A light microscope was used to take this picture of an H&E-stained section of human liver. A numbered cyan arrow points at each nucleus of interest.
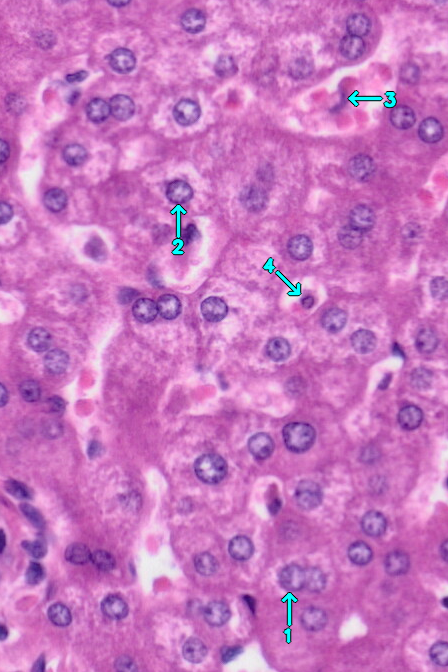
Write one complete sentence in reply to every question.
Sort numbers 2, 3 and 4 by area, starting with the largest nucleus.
By area, largest first, they run 2, 3, 4.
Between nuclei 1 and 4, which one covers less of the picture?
The smaller nucleus is 4, and 1 covers roughly 4 times its area.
